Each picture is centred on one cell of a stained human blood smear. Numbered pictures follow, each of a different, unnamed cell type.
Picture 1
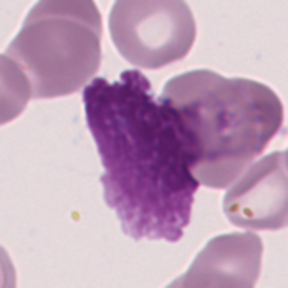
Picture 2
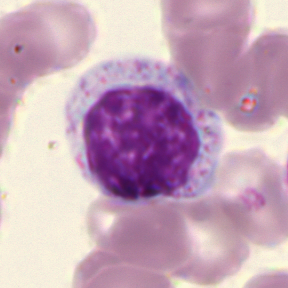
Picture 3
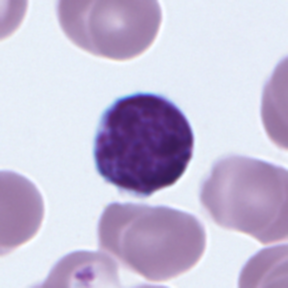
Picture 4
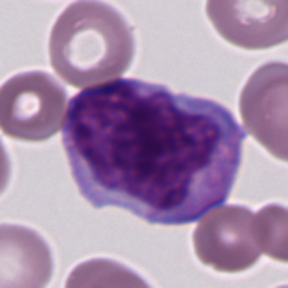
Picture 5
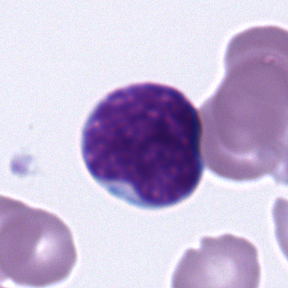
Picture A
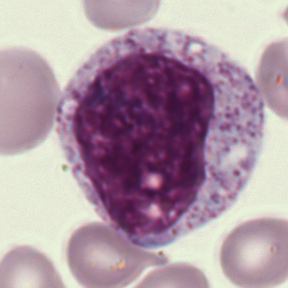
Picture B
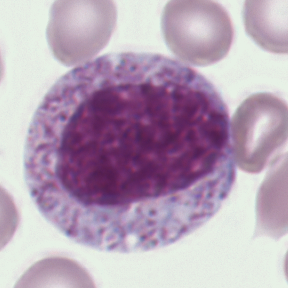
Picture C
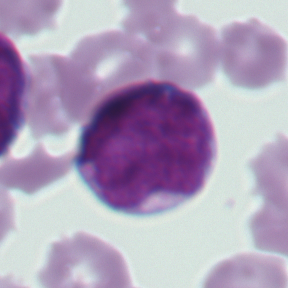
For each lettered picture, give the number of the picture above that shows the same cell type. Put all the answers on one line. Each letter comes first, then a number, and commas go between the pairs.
A 2, B 2, C 5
